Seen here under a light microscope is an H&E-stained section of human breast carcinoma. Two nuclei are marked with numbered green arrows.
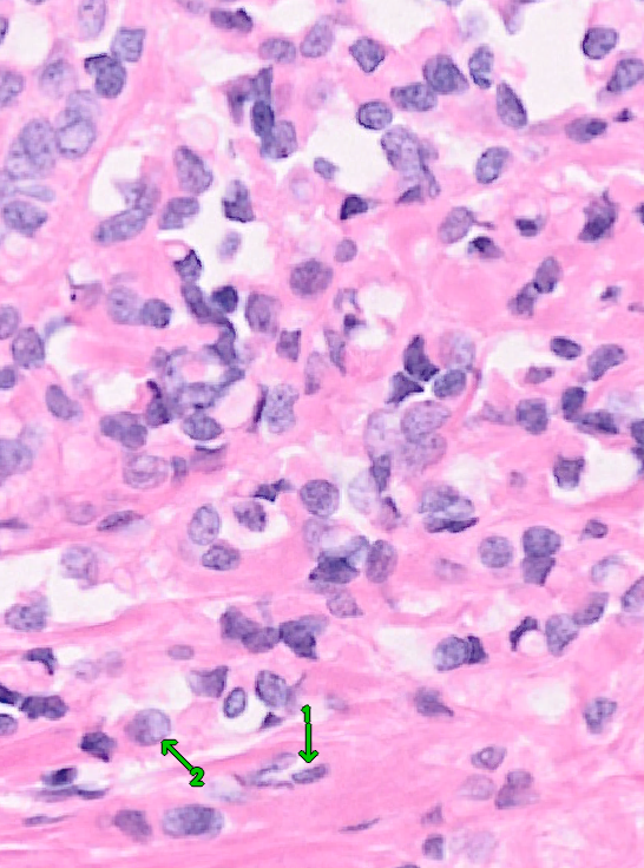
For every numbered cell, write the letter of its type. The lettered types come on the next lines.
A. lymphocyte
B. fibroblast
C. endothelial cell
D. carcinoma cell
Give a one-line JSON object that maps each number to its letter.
{"1": "C", "2": "D"}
